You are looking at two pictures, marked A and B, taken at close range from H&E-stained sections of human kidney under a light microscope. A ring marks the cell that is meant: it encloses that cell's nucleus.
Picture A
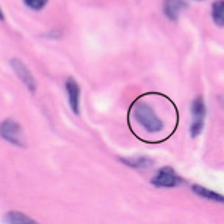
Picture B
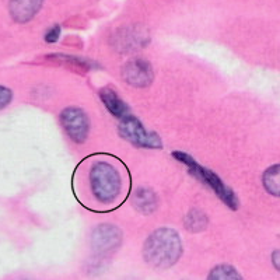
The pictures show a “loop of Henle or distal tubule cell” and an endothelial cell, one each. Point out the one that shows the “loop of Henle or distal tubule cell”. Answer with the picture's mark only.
B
